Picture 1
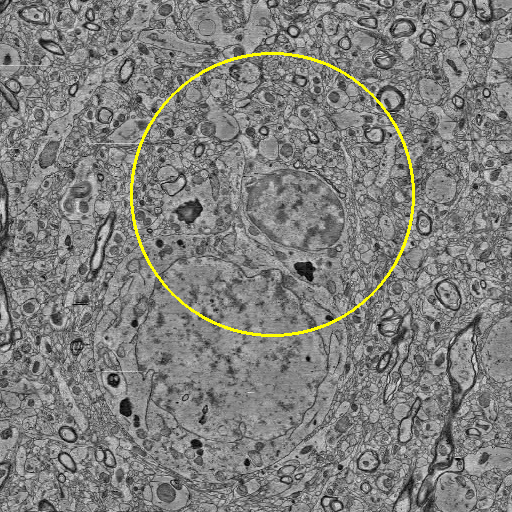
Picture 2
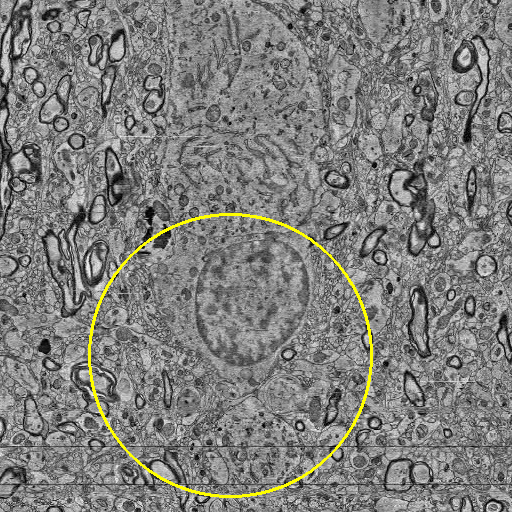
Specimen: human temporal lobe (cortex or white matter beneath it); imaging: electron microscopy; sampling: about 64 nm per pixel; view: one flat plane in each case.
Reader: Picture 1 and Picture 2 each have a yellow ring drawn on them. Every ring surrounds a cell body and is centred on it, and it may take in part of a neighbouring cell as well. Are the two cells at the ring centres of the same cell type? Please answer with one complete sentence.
Yes, both cells are of the same cell type.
